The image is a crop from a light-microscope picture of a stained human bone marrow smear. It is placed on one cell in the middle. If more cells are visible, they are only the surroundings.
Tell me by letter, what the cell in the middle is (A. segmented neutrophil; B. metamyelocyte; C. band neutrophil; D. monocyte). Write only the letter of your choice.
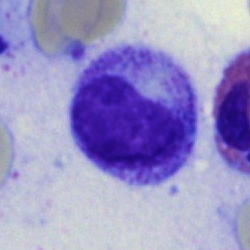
B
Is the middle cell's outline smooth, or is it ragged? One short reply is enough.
Smooth all around, the outline has no projections to report.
